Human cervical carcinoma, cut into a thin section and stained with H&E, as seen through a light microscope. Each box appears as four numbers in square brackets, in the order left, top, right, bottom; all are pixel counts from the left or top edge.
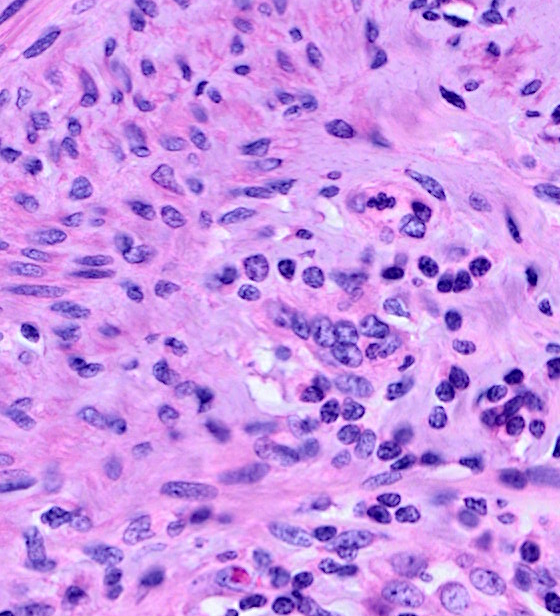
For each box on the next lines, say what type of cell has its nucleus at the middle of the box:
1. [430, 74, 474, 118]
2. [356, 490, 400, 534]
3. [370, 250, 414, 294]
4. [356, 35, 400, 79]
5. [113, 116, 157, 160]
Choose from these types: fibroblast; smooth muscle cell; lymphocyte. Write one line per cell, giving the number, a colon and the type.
1: lymphocyte
2: lymphocyte
3: lymphocyte
4: fibroblast
5: smooth muscle cell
